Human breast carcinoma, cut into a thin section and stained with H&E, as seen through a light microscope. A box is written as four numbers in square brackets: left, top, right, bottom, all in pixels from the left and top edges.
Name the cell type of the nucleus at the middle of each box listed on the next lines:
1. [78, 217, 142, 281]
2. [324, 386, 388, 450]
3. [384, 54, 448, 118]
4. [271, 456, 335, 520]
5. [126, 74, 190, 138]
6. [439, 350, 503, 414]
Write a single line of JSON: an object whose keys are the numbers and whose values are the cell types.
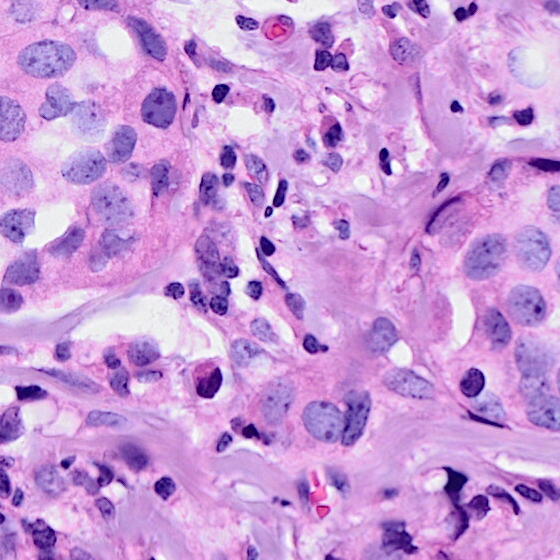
{"1": "carcinoma cell", "2": "carcinoma cell", "3": "fibroblast", "4": "endothelial cell", "5": "carcinoma cell", "6": "carcinoma cell"}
